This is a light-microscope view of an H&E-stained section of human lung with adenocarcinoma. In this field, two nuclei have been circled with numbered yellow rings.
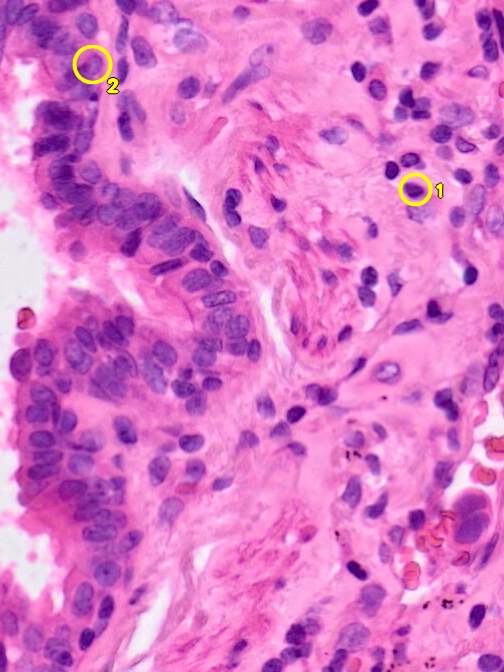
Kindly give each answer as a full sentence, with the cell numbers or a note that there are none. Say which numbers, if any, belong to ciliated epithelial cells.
Of those with numbers, only cell 2 is a ciliated epithelial cell.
